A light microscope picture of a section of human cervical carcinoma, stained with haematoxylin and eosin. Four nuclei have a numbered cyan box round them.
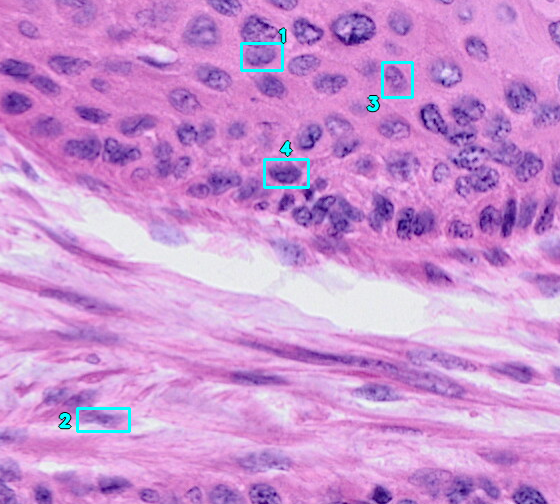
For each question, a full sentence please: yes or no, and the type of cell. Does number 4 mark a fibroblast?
No, the cell bearing number 4 is not a fibroblast but a squamous carcinoma cell.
